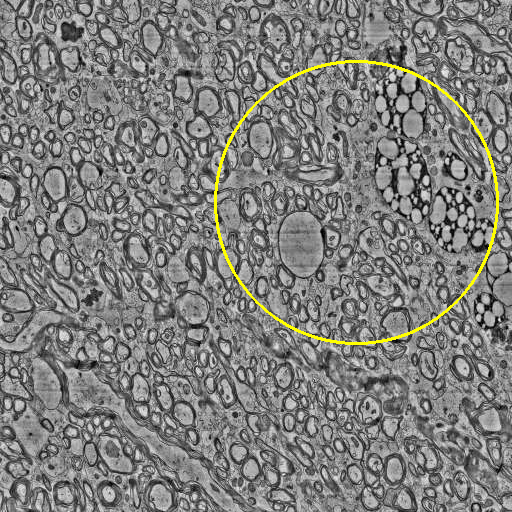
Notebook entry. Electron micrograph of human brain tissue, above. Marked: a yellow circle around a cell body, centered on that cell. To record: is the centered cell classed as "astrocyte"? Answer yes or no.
No, the centered cell belongs to another kind.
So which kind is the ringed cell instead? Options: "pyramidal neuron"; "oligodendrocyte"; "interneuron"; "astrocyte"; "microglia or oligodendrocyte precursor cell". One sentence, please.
So the cell at the centre is a microglial cell or oligodendrocyte precursor cell.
